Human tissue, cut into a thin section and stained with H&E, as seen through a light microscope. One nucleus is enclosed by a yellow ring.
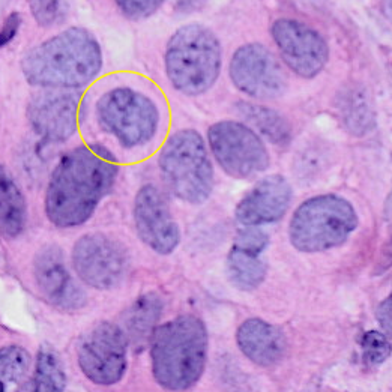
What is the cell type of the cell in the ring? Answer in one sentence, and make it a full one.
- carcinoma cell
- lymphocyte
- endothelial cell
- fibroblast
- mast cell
Considered by cell type, the cell in the ring is a carcinoma cell.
